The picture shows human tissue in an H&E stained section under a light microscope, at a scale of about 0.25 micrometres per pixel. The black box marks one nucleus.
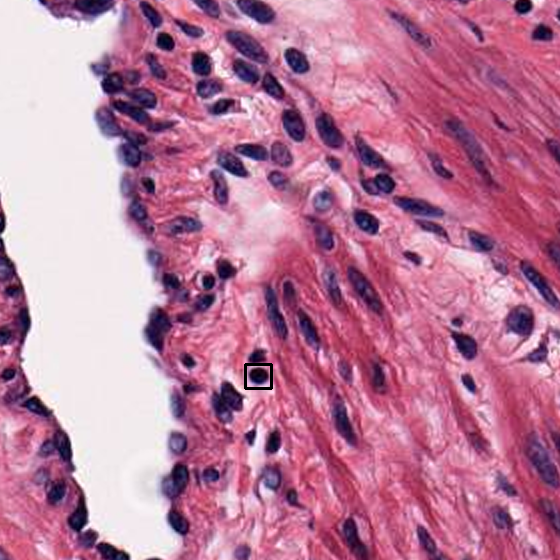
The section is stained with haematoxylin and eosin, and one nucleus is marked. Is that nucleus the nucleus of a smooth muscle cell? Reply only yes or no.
no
